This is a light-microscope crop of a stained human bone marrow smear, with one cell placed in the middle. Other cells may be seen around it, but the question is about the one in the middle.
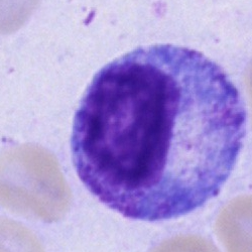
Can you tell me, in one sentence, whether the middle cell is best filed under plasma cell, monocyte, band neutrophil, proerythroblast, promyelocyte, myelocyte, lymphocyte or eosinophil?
In the center of this field lies a promyelocyte.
